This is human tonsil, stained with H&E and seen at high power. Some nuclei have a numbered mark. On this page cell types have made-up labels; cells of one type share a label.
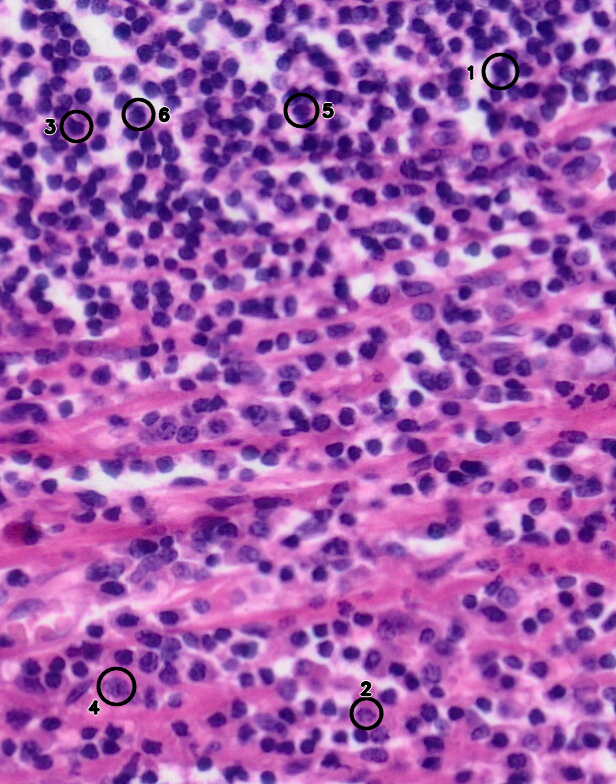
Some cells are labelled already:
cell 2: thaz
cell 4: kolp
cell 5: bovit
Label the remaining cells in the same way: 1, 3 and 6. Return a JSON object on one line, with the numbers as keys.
{"1": "bovit", "3": "bovit", "6": "bovit"}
